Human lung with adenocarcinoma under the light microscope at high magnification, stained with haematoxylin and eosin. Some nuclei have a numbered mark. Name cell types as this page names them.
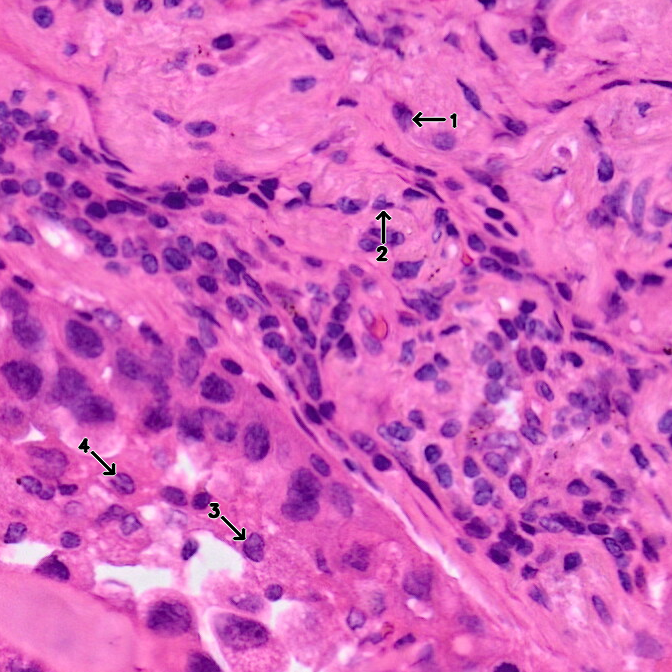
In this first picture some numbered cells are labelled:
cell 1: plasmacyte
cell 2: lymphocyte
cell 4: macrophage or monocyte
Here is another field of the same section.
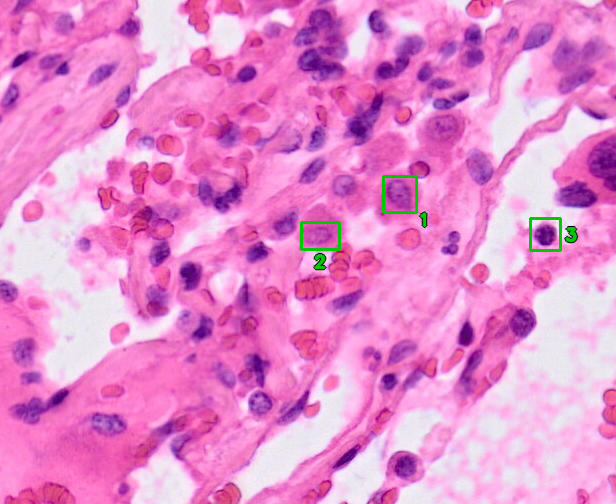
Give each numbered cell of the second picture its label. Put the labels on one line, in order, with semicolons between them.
macrophage or monocyte; macrophage or monocyte; lymphocyte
